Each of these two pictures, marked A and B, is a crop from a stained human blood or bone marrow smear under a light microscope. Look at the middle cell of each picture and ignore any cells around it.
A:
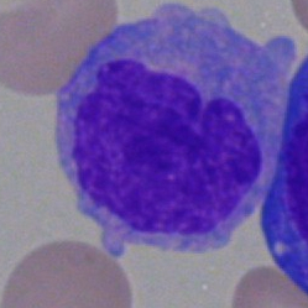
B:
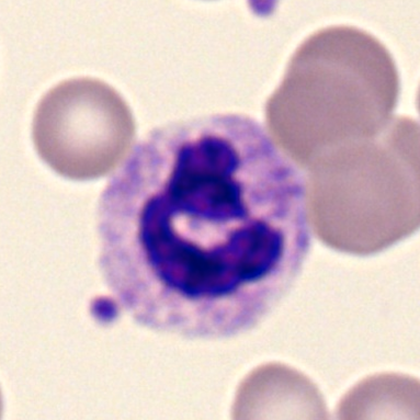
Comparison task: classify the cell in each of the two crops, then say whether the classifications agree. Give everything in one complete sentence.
No, what crop A shows is a monocyte, and what crop B shows is a neutrophil.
